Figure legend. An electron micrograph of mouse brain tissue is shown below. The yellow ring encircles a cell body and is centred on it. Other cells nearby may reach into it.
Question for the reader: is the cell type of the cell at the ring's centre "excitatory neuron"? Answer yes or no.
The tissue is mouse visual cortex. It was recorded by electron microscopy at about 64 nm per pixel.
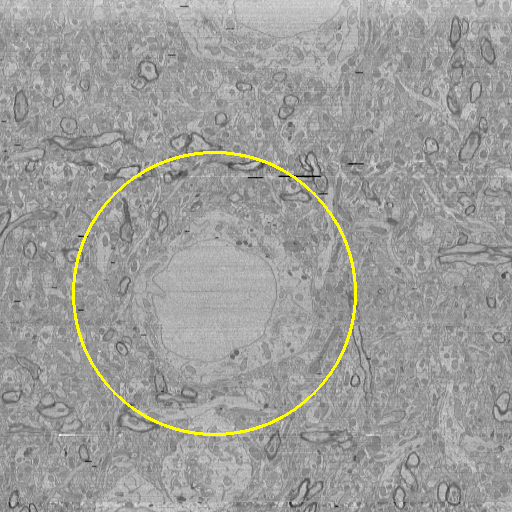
yes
